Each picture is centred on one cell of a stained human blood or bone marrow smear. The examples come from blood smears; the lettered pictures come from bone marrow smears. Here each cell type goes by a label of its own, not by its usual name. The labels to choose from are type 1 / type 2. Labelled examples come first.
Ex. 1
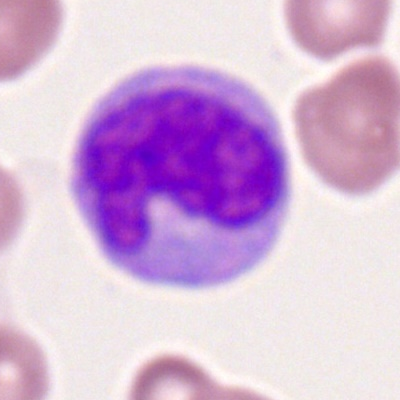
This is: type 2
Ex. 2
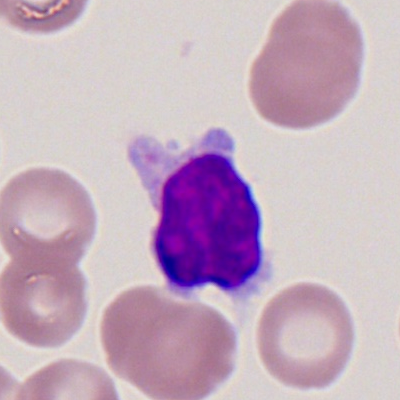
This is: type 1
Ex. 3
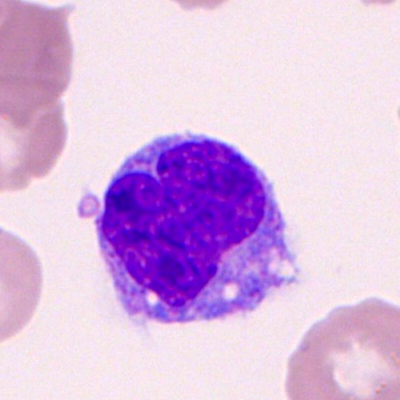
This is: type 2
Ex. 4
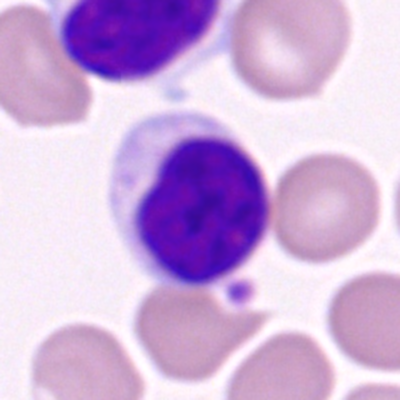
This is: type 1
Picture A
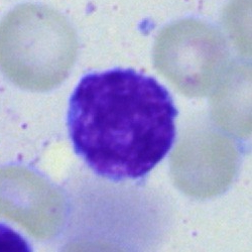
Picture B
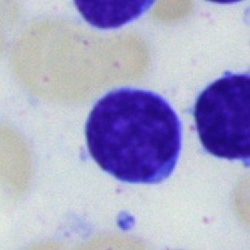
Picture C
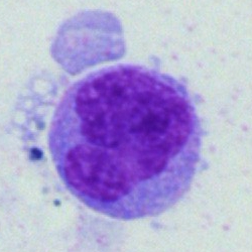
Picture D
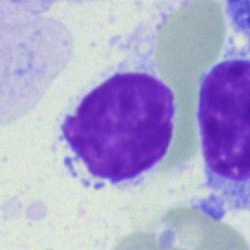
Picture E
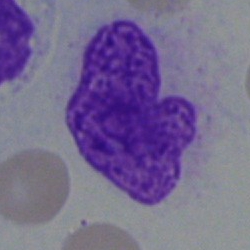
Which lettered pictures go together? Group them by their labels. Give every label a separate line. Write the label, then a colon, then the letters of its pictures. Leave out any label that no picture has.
type 1: A, B, D
type 2: C, E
